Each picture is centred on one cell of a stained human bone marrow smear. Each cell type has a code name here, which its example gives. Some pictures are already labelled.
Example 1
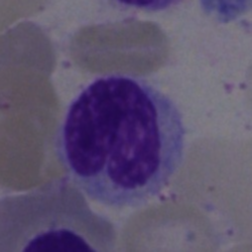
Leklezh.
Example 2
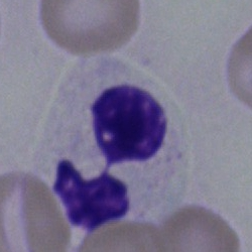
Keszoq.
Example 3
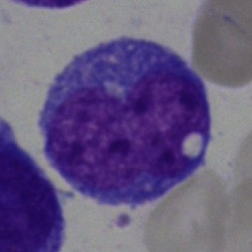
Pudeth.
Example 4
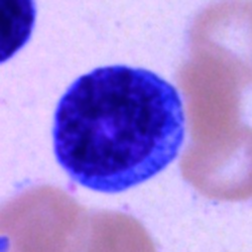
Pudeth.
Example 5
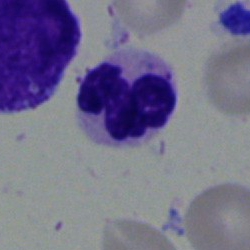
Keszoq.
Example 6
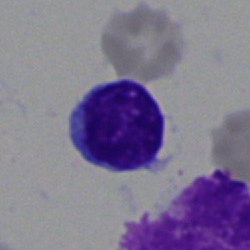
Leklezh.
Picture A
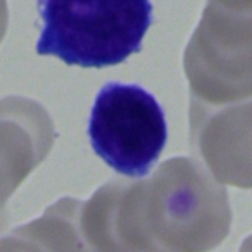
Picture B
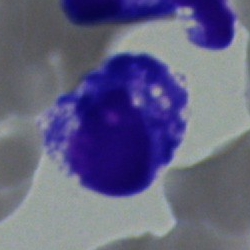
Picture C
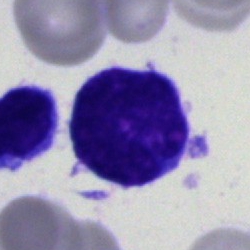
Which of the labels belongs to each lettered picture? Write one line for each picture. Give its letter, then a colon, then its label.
A: Leklezh.
B: Pudeth.
C: Pudeth.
